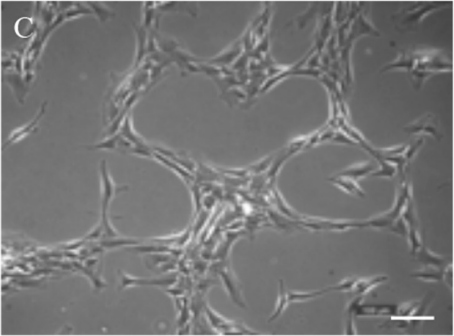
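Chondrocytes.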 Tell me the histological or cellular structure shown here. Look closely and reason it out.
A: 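Elongated cells are gathered into cords that join one another. The cords enclose rounded cell-free spaces. Few cells lie isolated in the open spaces.
Answer: network-like structure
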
